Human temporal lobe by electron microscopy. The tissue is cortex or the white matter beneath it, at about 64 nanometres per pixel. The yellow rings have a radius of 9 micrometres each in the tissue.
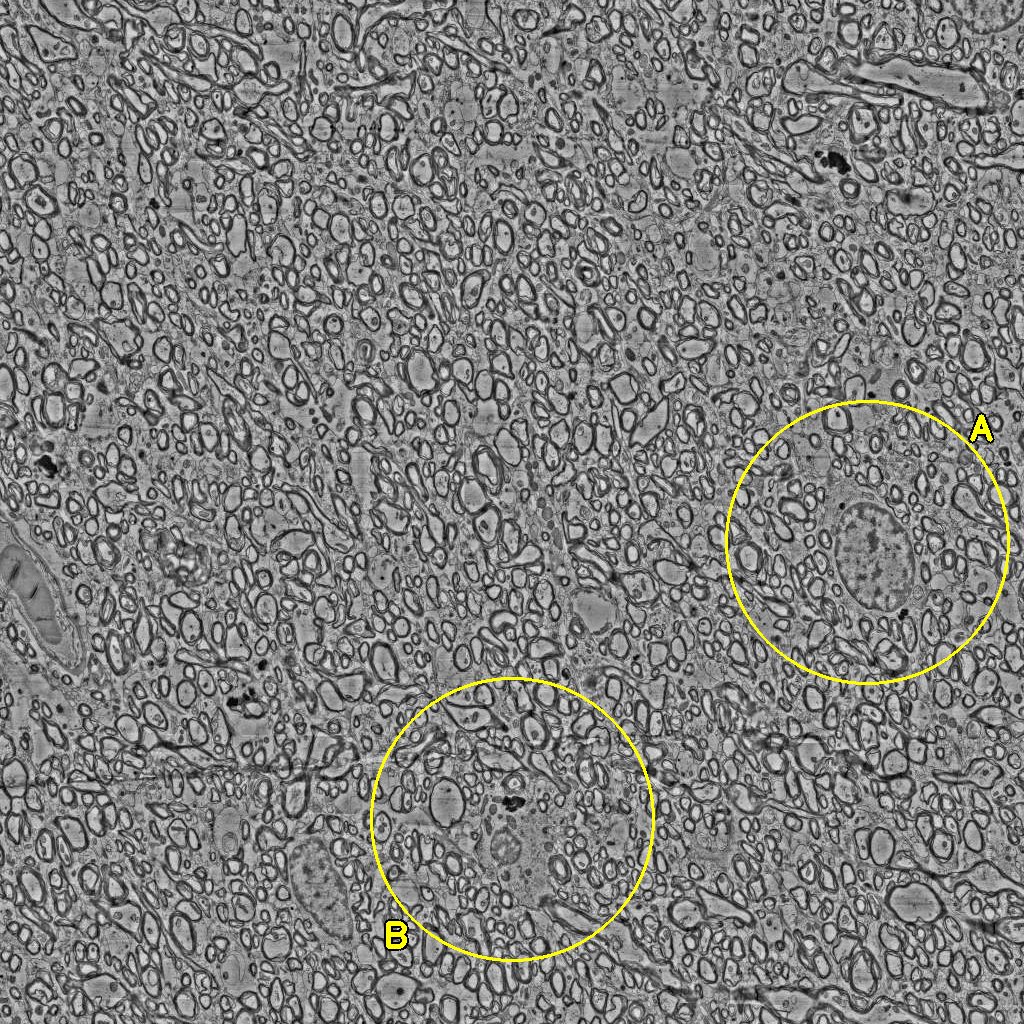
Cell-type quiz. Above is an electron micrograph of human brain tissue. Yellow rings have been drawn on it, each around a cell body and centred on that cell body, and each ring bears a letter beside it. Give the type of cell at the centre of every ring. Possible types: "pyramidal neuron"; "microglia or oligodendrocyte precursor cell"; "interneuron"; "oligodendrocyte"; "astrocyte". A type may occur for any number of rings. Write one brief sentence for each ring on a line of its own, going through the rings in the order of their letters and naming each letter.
Ring A is centred on the cell body of an oligodendrocyte.
Ring B is centred on the cell body of an oligodendrocyte.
